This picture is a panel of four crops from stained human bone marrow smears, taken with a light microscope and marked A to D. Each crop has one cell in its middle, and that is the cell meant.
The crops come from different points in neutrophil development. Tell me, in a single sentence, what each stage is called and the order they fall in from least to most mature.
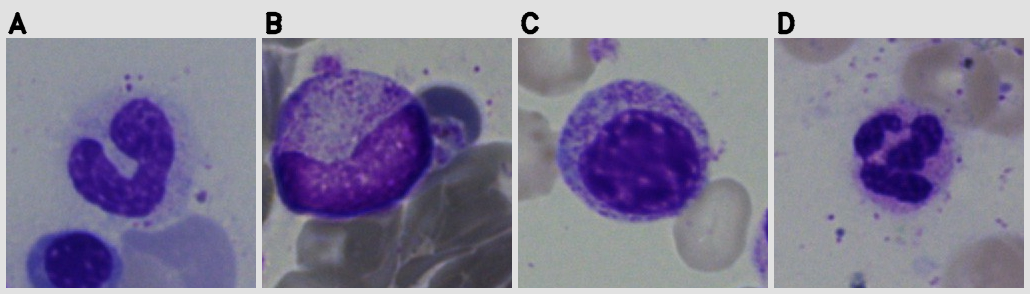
Taken from least to most mature, the sequence is crop C (a myelocyte), crop B (a metamyelocyte), crop A (a band neutrophil) and crop D (a segmented neutrophil).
